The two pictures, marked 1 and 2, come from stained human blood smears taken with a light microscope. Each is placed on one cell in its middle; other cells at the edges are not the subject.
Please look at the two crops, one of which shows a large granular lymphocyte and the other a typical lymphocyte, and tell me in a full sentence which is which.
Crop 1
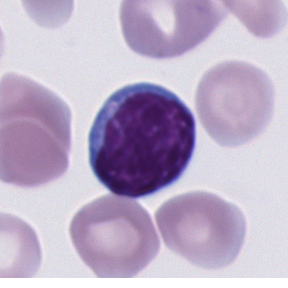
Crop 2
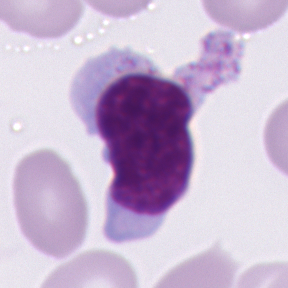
Placed in the middle of crop 1 is a typical lymphocyte, and in the middle of crop 2, a large granular lymphocyte.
